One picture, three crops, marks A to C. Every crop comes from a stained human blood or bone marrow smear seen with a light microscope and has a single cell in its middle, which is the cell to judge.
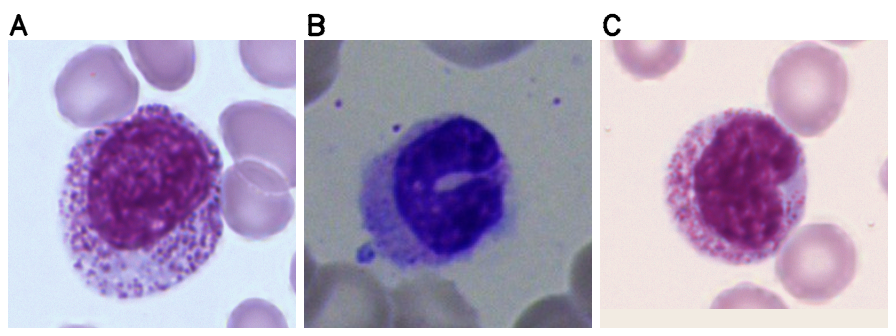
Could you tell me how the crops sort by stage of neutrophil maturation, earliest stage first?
A, C, B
